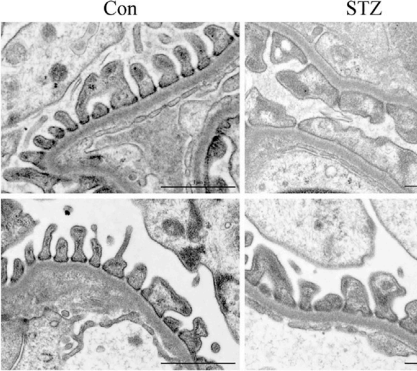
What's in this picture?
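These electron micrographs show the glomerular filtration barrier, with podocyte foot processes lying on a dense, continuous basement membrane. In some images the foot processes are narrow, tall and regularly spaced with clear gaps between them. In others they are fewer, broader and flattened along the membrane, so that stretches of membrane are covered by continuous cytoplasm.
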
